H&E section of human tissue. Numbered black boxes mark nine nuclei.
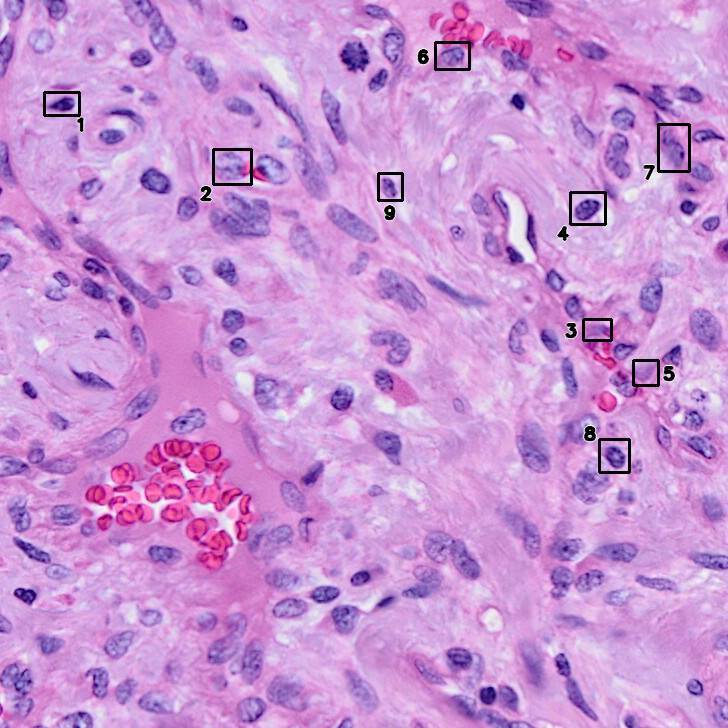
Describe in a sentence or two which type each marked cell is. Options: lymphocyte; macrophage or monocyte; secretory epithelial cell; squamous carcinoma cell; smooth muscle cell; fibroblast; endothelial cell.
Cells 1, 4, 8 and 9 are lymphocytes. Cells 2, 3, 5, 6 and 7 are endothelial cells.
